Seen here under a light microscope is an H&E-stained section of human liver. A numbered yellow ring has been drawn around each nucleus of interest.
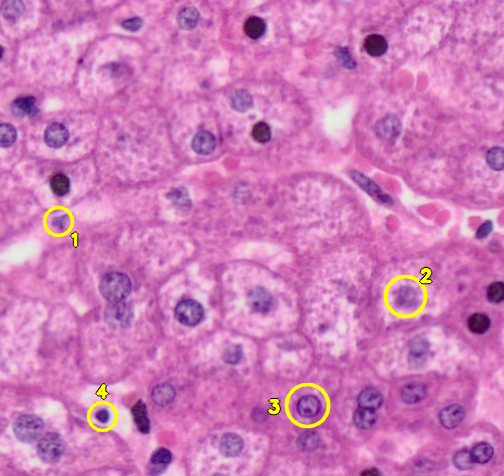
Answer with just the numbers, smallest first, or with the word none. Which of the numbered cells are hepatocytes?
2, 3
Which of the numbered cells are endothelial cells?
1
